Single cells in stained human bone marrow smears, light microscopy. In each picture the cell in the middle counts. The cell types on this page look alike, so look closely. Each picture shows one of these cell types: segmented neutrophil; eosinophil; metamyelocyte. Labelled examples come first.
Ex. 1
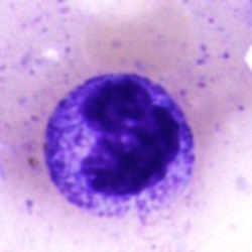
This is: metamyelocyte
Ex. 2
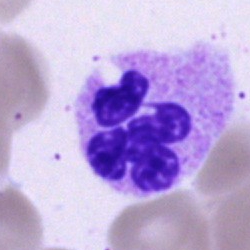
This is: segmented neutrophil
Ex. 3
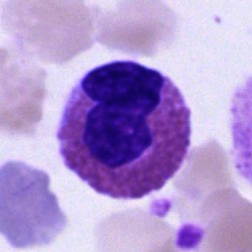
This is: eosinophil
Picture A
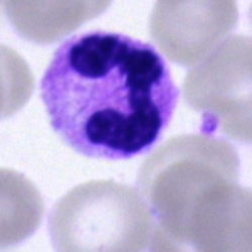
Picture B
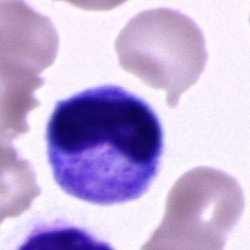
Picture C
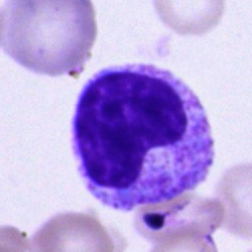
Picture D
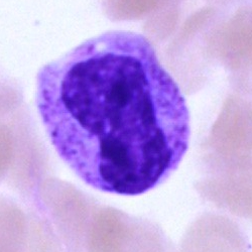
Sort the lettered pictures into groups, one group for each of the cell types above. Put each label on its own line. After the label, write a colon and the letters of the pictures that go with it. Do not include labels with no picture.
segmented neutrophil: A
metamyelocyte: B, C, D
